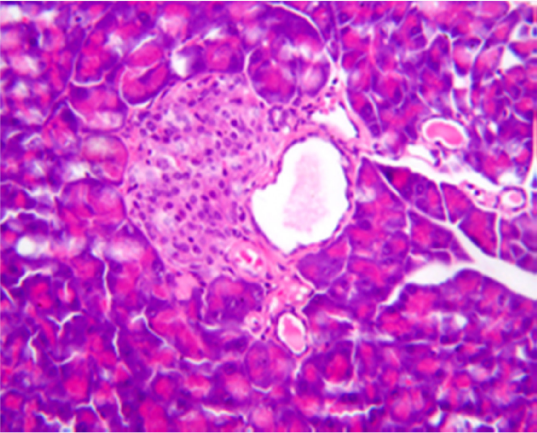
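This is pancreas, showing a pancreatic islet surrounded by acinar tissue. The islet is a rounded pale pink cluster of cells with scattered dark nuclei, lying next to a clear, duct-like space with pink contents and small vessels. The acinar cells around it form dark purple-red glandular groups with paler centres, separated by thin white clefts.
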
